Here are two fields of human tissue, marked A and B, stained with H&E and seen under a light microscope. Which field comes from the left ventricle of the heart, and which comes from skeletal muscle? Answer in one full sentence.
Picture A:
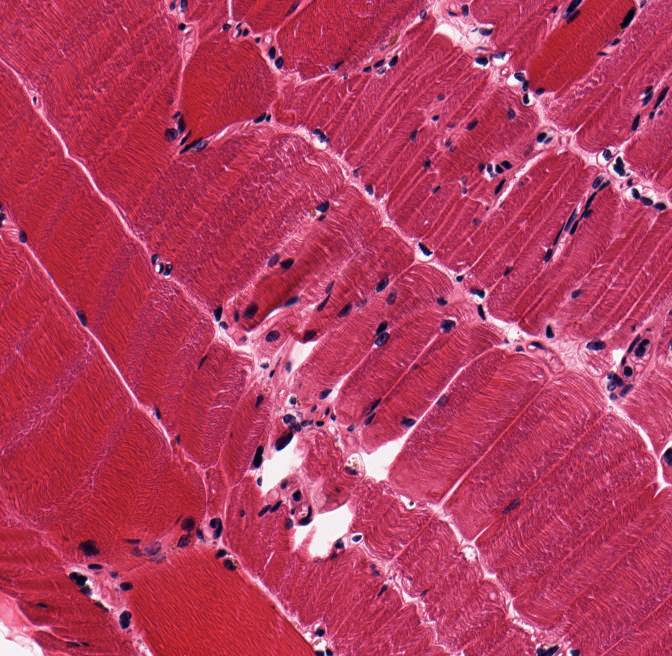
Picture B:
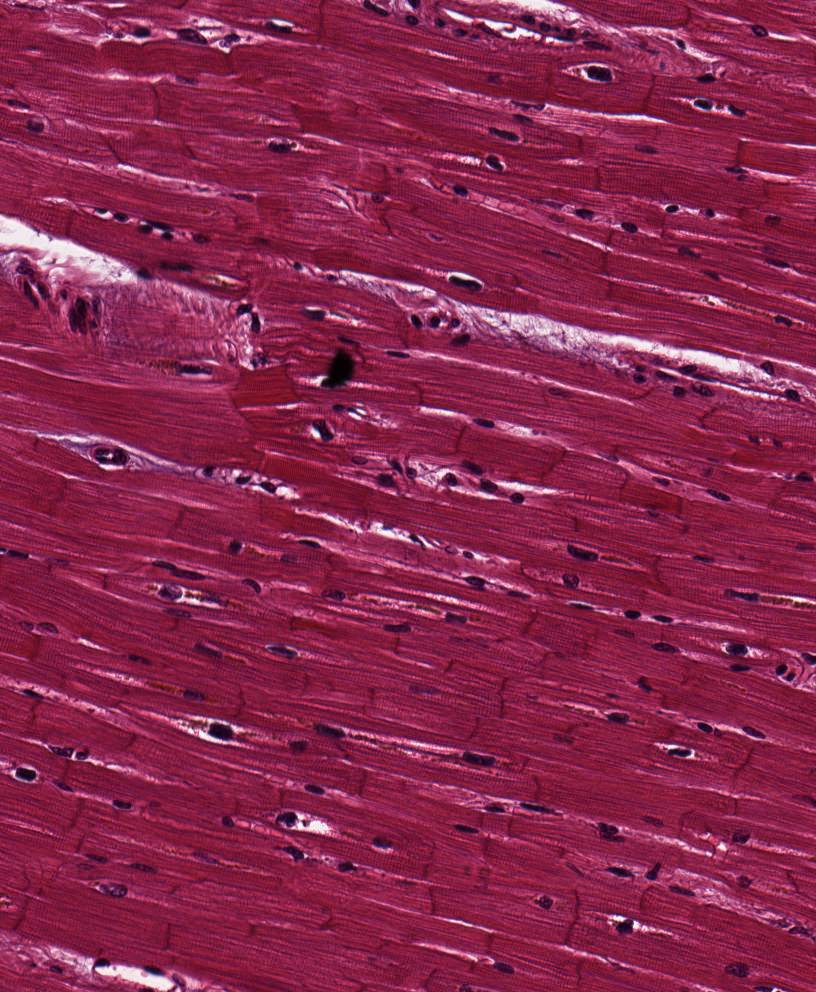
Picture B comes from the left ventricle of the heart, while picture A comes from skeletal muscle.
